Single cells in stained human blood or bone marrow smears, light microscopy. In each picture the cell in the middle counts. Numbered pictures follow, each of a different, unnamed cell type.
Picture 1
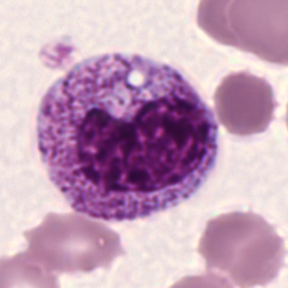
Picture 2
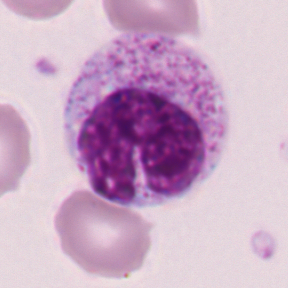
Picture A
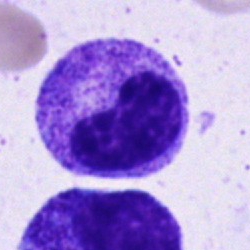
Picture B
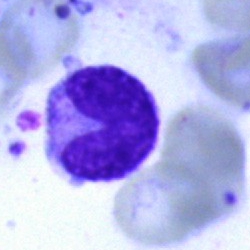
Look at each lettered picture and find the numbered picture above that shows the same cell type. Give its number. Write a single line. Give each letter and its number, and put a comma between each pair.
A 1, B 2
